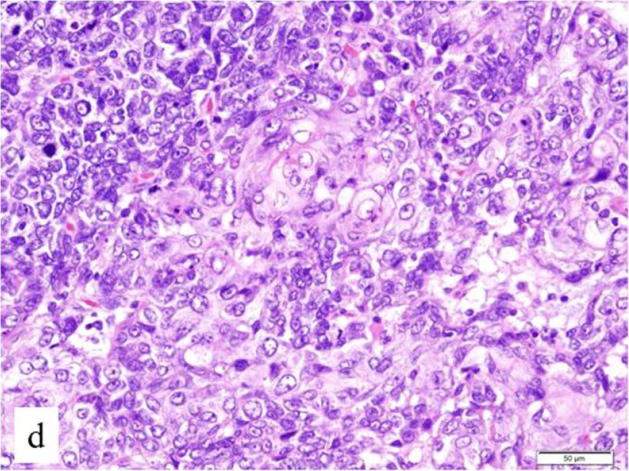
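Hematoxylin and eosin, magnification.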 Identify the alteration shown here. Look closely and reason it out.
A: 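Squamoid pattern. Sheets of large polygonal cells with pink cytoplasm. Large vesicular nuclei with prominent nucleoli. Cells lie in solid nests without glands.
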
